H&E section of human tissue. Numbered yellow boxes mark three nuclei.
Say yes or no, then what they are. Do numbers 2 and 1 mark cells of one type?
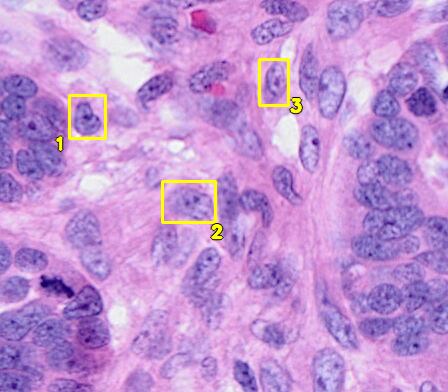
No, cell 2 is a fibroblast and cell 1 is a macrophage or monocyte.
